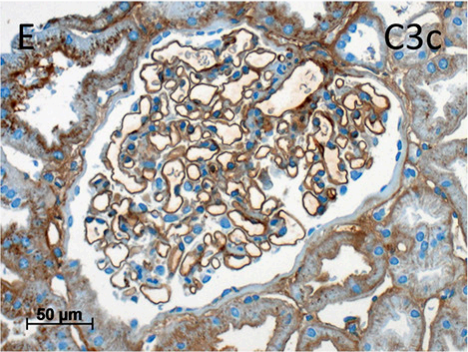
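Glomerulus of the kidney cut across, surrounded by tubules. The tuft consists of many open, rounded capillary loops whose walls are lined by a thin, even brown line along their inner aspect; no coarse granular or lumpy brown deposits are seen along the walls or in the stalks. Blue nuclei of endothelial, mesangial and epithelial cells lie scattered through the tuft. A clear urinary space separates the tuft from Bowman's capsule.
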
